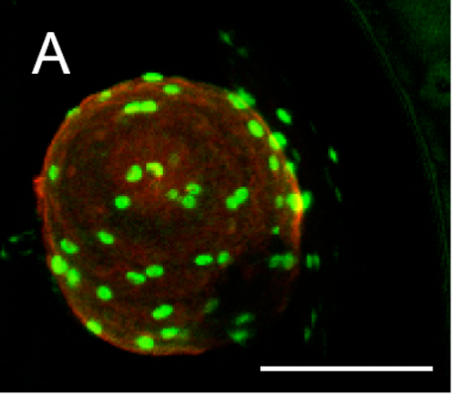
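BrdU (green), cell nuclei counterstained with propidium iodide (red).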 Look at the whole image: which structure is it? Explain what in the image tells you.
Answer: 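A compact, roughly round multicellular aggregate fills most of the panel. The aggregate has a smooth, sharply bounded outer edge. Many cell nuclei are distributed over the body of the aggregate. On this evidence: spheroids.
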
